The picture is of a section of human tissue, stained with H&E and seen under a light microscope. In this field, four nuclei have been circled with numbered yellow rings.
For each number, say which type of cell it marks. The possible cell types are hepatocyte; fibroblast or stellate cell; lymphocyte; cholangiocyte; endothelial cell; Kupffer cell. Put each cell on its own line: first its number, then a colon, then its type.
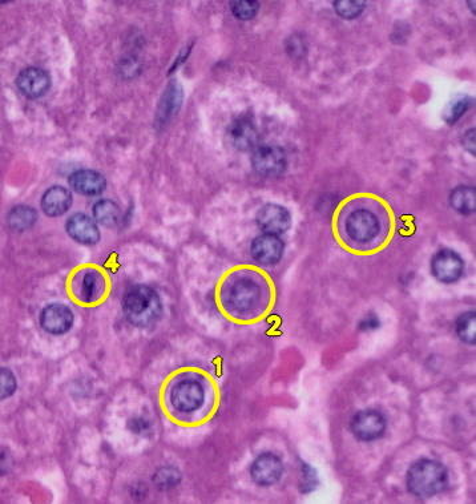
1: hepatocyte
2: hepatocyte
3: hepatocyte
4: fibroblast or stellate cell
